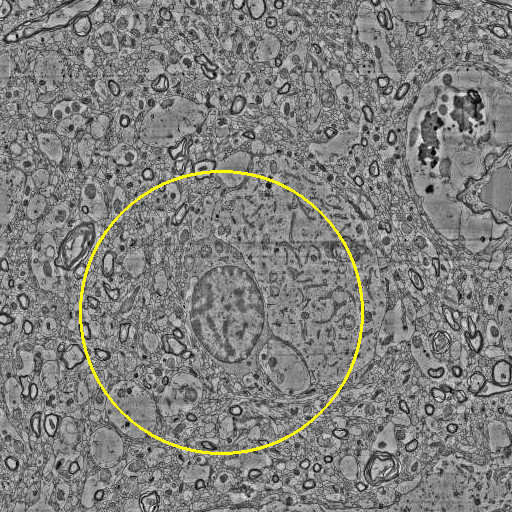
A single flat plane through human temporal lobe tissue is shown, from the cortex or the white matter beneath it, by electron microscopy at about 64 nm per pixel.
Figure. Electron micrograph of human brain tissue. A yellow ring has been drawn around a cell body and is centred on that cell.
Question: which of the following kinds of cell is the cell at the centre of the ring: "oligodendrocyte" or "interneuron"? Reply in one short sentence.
The cell at the centre of the ring is an oligodendrocyte.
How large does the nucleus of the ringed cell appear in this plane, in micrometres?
In this plane the nucleus measures roughly 6 by 5 micrometres.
